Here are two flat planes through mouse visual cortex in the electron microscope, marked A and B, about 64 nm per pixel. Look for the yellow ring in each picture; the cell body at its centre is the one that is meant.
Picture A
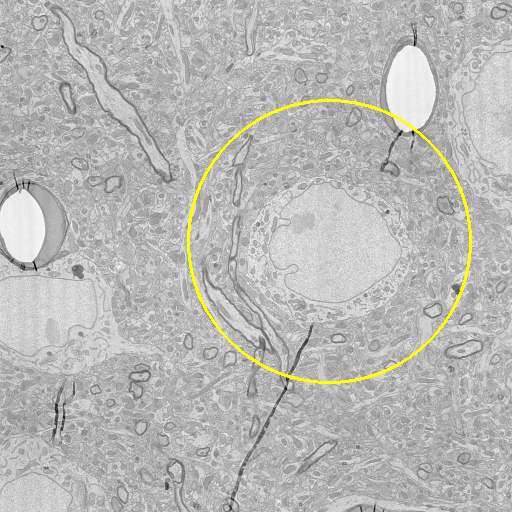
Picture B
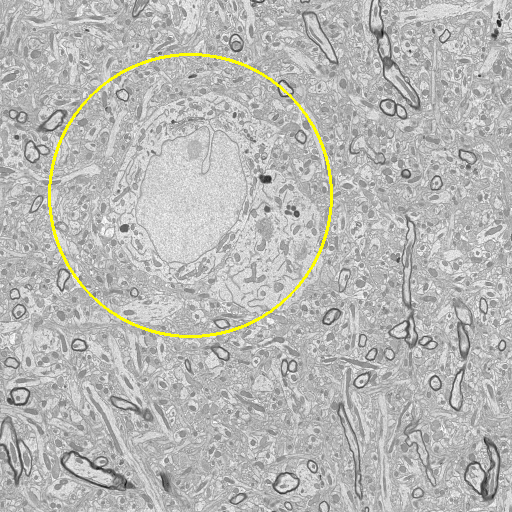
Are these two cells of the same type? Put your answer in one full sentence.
Yes, the two pictures both show inhibitory neurons.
